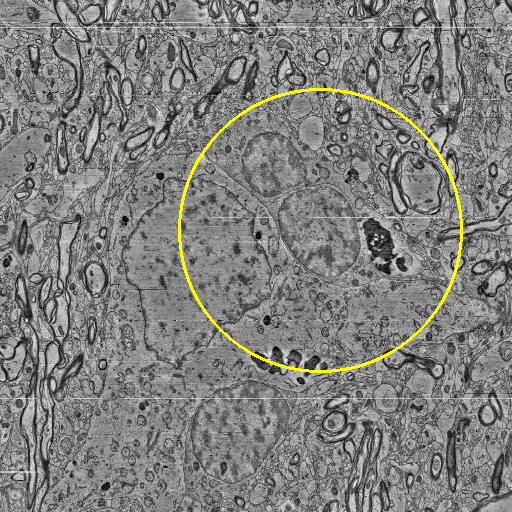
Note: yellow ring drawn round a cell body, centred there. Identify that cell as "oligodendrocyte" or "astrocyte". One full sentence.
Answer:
The cell in the middle of the ring is an oligodendrocyte.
